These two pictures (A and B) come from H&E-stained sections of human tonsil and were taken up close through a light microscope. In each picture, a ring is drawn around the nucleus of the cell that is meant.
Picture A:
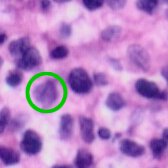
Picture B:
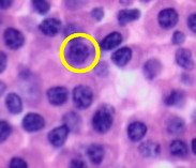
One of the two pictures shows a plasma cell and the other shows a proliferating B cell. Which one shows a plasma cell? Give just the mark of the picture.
B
